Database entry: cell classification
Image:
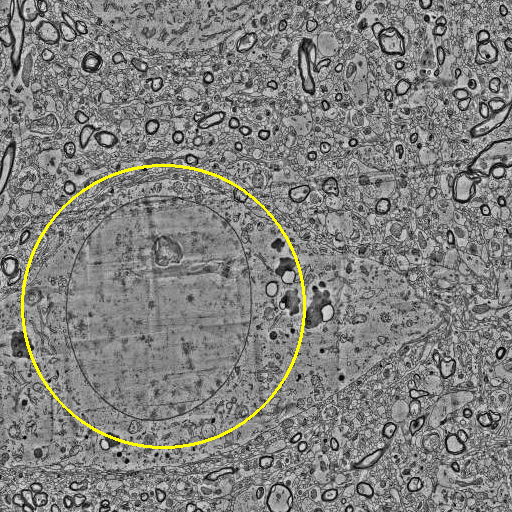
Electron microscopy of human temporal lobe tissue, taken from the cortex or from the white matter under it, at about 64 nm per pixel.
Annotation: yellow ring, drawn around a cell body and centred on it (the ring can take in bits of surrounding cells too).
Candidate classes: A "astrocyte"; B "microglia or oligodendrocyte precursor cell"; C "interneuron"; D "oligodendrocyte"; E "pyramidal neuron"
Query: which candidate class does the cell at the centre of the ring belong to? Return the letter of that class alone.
E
